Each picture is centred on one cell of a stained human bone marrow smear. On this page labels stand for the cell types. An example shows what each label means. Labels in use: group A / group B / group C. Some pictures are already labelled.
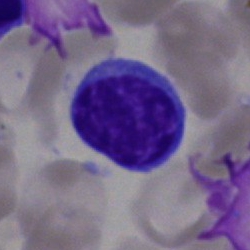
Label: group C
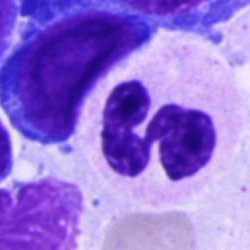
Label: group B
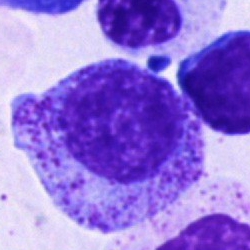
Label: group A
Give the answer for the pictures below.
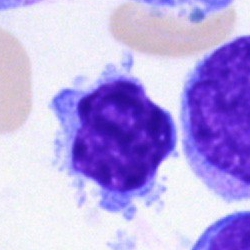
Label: group C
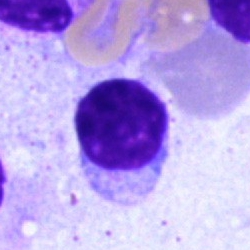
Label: group C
